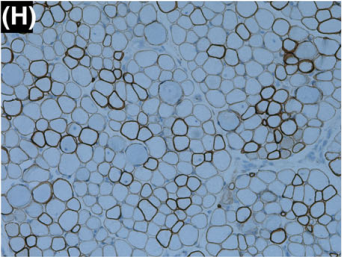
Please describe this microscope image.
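Skeletal muscle fibers are seen in cross-section against a pale blue counterstain. A brown rim outlines the border of many fibers, giving a pattern of rings. The strength of the rim differs from fiber to fiber: some have thick dark brown borders, others only a faint or broken brown line. The fibers are rounded and vary in size, and blue nuclei lie at their edges.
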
